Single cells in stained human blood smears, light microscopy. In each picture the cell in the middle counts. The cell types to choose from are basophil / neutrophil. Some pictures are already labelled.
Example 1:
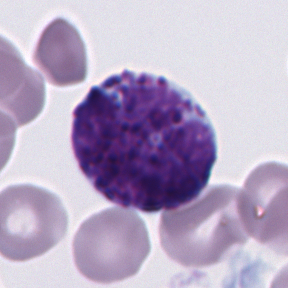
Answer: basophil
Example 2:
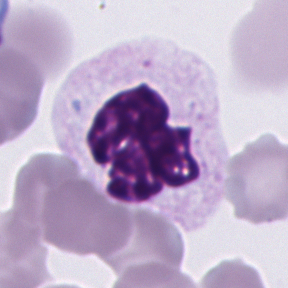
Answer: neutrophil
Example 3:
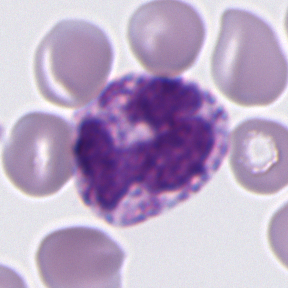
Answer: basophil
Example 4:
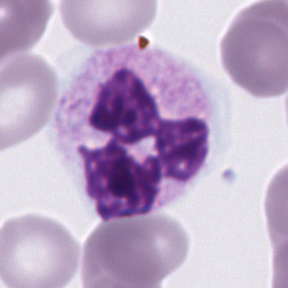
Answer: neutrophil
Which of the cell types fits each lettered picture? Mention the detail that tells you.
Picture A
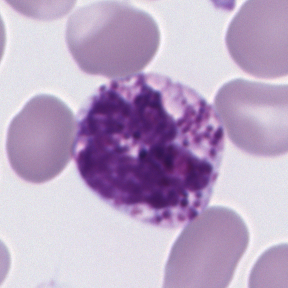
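basophil. Reason: Coarse dark purple granules are scattered through the cytoplasm.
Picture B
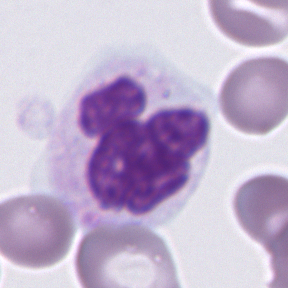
neutrophil. Reason: The cytoplasm holds sparse, very fine lilac granules.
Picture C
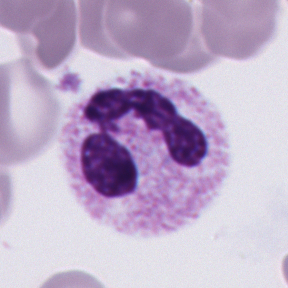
neutrophil. Reason: The cytoplasm is plentiful and pale pinkish-lilac.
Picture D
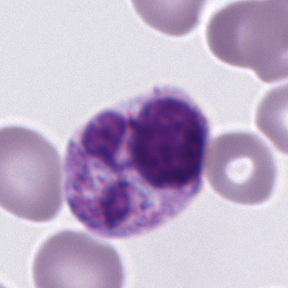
basophil. Reason: The granules are coarse and uneven in size rather than fine and uniform.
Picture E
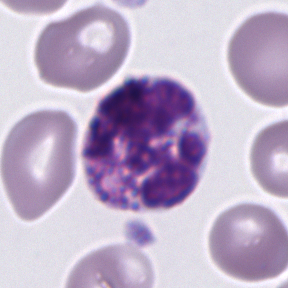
basophil. Reason: Coarse dark blue-violet granules are scattered across the cell.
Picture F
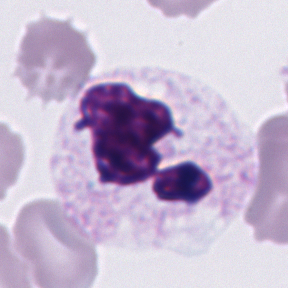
neutrophil. Reason: Fine pinkish-violet granules are scattered throughout the cytoplasm.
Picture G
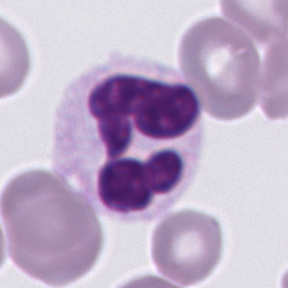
neutrophil. Reason: The cytoplasm is plentiful and pale pinkish-lilac.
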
